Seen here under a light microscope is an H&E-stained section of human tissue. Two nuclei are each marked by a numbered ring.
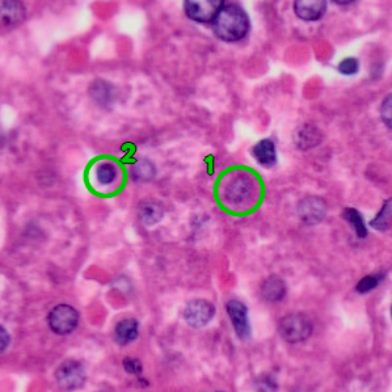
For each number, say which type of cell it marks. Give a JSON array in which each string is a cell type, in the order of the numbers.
["hepatocyte", "lymphocyte"]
